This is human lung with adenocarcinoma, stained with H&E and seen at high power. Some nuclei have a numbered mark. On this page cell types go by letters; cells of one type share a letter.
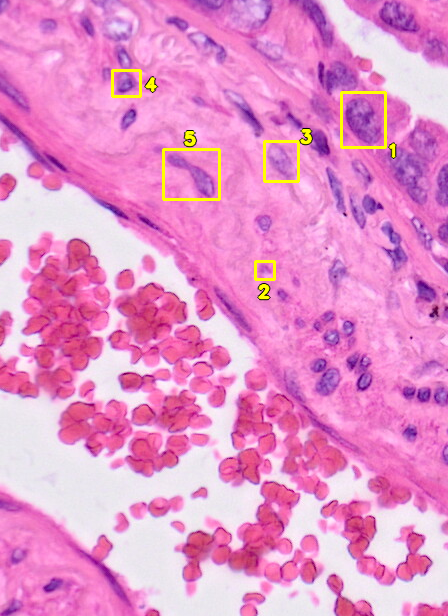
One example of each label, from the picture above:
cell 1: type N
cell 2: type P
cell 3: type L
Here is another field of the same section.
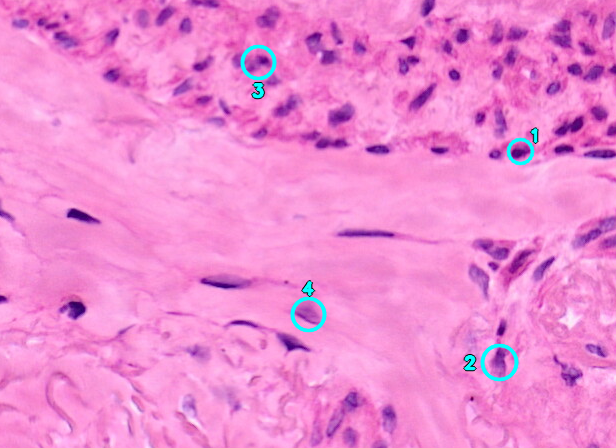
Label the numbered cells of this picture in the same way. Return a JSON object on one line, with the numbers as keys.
{"1": "type P", "2": "type P", "3": "type P", "4": "type L"}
